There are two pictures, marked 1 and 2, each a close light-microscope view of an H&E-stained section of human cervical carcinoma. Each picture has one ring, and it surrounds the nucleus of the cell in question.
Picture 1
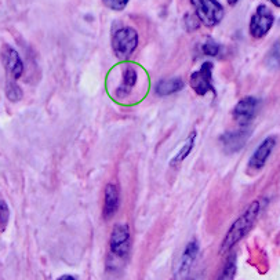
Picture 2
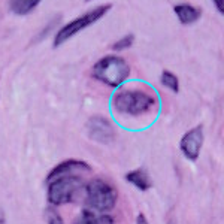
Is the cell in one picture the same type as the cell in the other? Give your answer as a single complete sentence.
No, they differ: the cell is a “macrophage or monocyte” in picture 1 and an endothelial cell in picture 2.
